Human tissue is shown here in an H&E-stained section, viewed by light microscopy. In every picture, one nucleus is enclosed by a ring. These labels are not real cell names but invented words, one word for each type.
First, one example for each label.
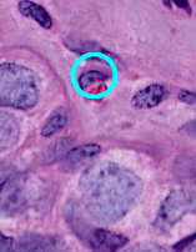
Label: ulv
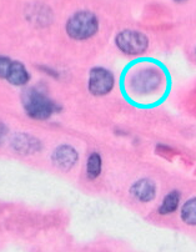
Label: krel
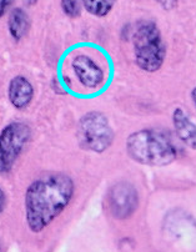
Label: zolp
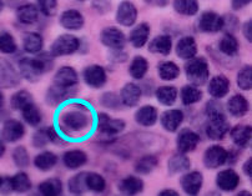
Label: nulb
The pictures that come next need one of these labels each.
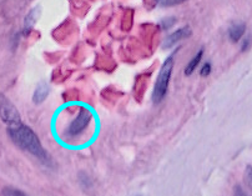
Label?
ulv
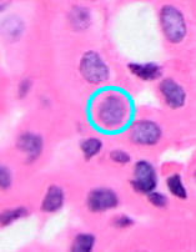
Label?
krel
